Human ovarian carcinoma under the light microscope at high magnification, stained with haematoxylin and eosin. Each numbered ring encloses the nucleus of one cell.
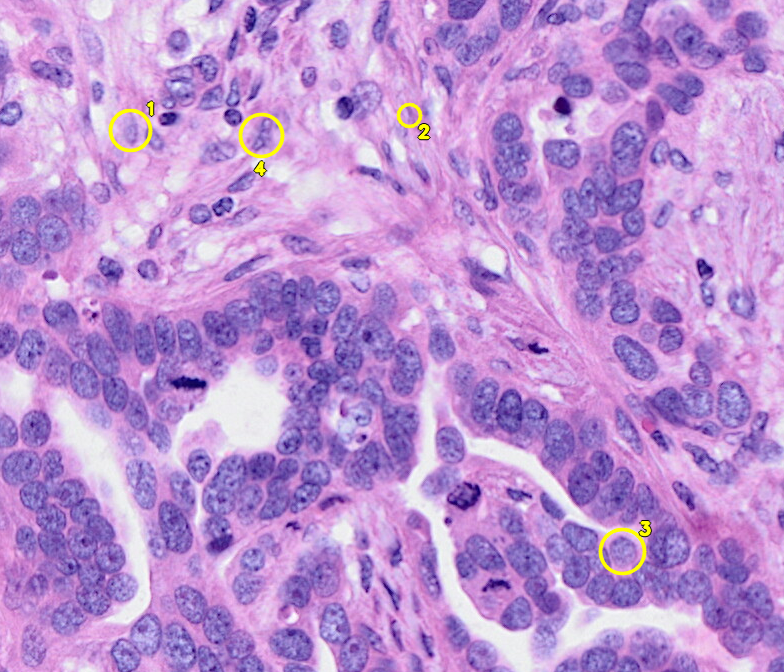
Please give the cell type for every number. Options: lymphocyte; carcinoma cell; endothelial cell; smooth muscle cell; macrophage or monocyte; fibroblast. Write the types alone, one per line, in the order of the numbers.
fibroblast
fibroblast
carcinoma cell
fibroblast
